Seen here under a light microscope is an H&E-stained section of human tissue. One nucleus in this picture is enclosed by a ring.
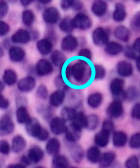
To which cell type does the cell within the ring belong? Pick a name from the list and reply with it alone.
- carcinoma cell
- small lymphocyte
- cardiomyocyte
small lymphocyte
